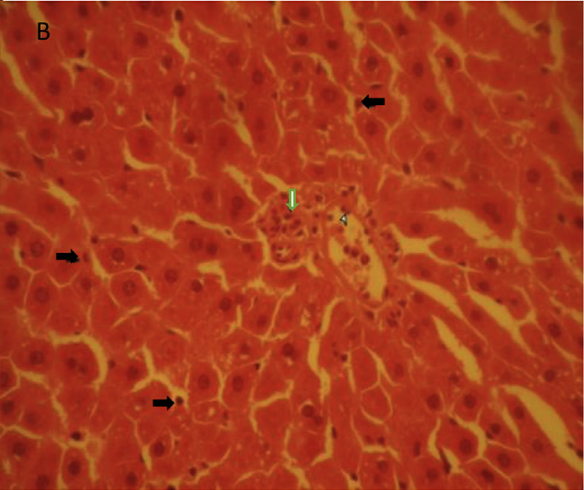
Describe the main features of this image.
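Liver parenchyma of large polygonal hepatocytes with pink cytoplasm, distinct cell borders and round central nuclei, arranged in cords separated by pale sinusoids. Near the centre, beside a small vessel, lies a compact cluster of small cells with dark nuclei, standing out against the surrounding hepatocytes.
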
